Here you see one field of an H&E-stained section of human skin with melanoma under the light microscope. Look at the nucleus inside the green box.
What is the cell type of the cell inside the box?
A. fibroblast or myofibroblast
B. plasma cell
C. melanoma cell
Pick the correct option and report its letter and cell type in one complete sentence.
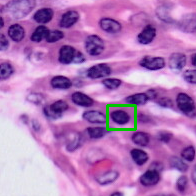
Option B is correct in that the cell inside the box is a plasma cell.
